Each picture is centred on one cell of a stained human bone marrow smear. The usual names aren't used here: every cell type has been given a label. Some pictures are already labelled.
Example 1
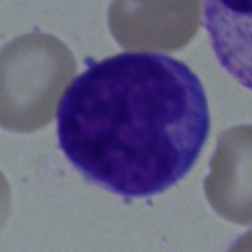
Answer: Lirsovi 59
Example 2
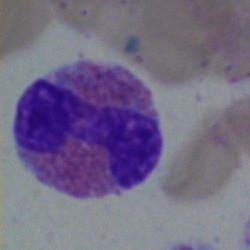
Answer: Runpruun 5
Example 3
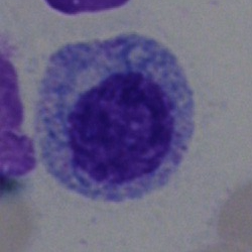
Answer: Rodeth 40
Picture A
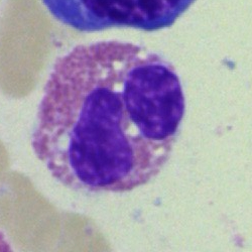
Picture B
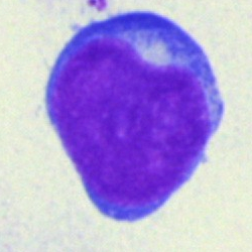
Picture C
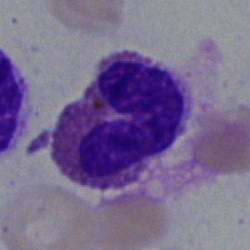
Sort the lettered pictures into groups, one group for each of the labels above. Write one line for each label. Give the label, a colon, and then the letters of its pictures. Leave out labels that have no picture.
Lirsovi 59: B
Runpruun 5: A, C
